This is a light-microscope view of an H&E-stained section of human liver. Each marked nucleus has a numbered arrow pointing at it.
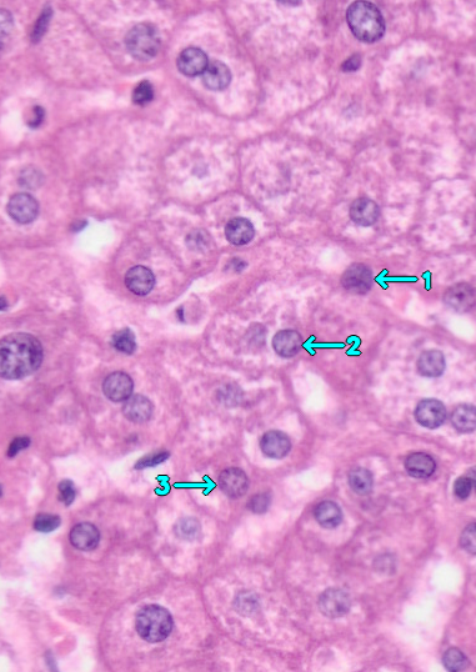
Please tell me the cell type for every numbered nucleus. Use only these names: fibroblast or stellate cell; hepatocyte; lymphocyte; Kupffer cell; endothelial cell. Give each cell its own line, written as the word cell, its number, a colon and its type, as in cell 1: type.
cell 1: endothelial cell
cell 2: hepatocyte
cell 3: hepatocyte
